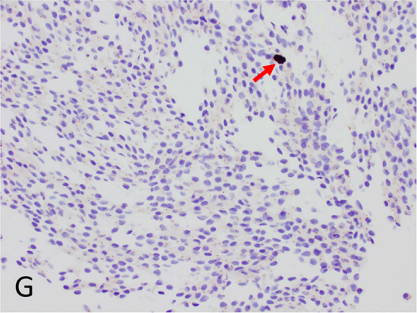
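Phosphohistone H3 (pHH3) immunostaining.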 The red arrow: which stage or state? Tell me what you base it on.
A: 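The arrow points to a single dark, compact, intensely stained nucleus. All other nuclei around it are pale blue and unstained.
Mitotic activity.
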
